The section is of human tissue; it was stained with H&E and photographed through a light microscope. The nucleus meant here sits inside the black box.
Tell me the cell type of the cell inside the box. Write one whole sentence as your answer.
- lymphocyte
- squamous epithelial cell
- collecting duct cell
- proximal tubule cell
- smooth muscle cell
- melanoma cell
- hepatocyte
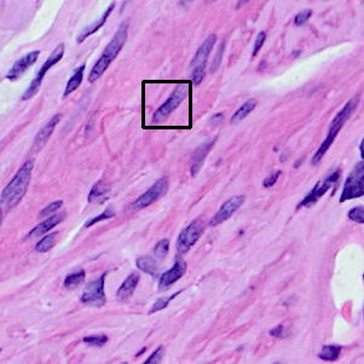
As a matter of cell type, the cell inside the box is a smooth muscle cell.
